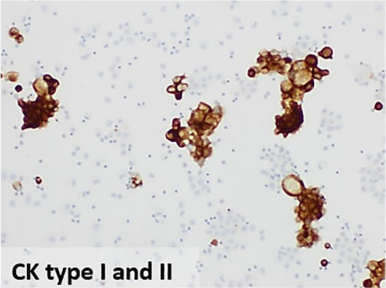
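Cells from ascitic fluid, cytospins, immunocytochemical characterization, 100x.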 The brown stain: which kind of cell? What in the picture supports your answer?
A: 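Brown-stained cells form clusters and rounded groups. The many small background cells remain unstained pale blue-grey. The answer: neoplastic cells.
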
